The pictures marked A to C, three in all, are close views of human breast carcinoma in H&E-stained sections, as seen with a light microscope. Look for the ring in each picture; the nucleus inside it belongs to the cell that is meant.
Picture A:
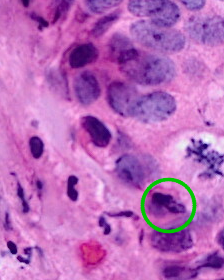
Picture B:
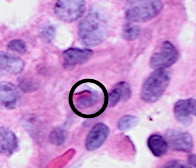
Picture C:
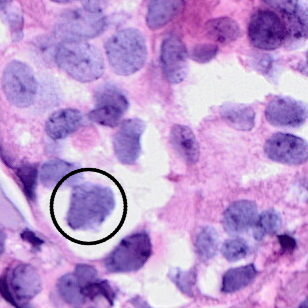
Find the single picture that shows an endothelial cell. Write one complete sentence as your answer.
Picture B is the one that shows the endothelial cell.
